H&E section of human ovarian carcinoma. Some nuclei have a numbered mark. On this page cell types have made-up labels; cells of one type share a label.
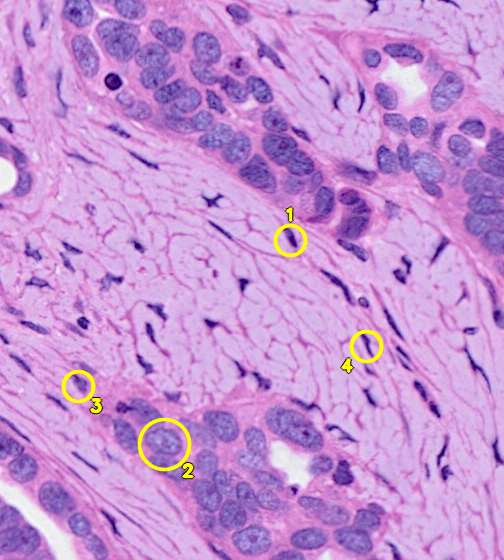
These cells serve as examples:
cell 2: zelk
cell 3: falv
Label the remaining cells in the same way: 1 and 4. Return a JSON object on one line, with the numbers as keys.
{"1": "falv", "4": "falv"}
